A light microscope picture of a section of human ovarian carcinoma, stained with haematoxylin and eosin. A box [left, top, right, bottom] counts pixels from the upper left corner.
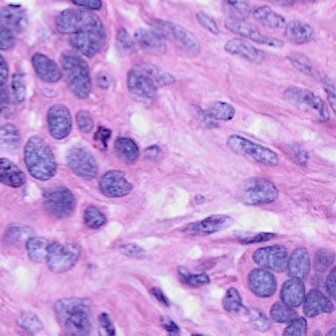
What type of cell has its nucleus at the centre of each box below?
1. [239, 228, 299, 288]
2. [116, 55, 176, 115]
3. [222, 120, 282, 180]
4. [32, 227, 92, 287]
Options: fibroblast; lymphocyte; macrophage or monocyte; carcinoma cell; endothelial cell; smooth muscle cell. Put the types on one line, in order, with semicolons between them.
carcinoma cell; fibroblast; fibroblast; fibroblast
